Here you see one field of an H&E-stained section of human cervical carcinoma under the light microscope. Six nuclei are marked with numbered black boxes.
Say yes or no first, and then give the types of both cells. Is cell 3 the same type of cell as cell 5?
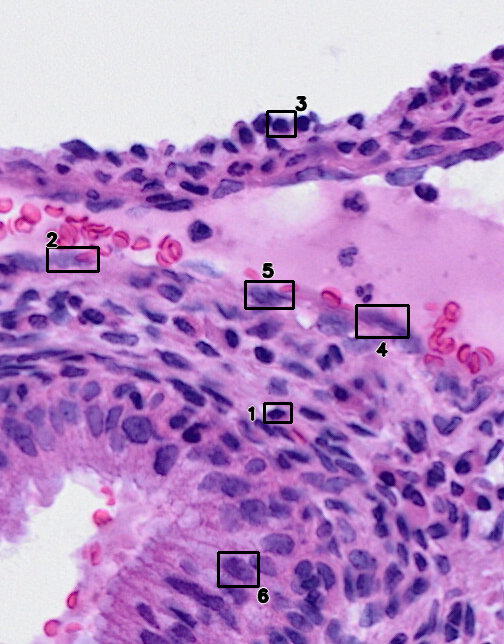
No, cell 3 is recognized as a lymphocyte, and cell 5 as an endothelial cell.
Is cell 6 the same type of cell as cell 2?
No, cell 6 is a secretory epithelial cell and cell 2 is an endothelial cell.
